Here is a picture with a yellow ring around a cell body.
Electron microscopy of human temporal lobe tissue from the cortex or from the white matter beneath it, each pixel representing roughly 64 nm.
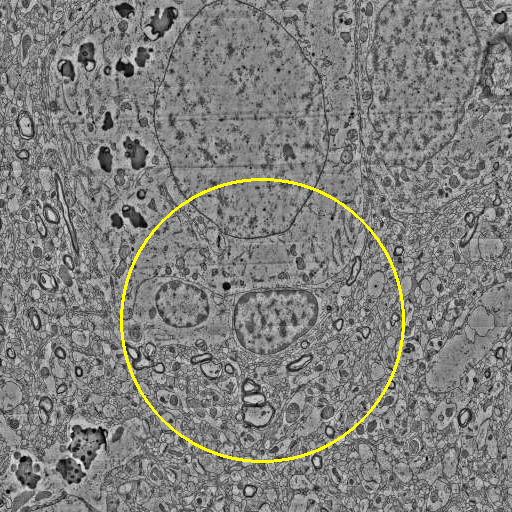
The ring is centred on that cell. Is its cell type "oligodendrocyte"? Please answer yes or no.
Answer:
no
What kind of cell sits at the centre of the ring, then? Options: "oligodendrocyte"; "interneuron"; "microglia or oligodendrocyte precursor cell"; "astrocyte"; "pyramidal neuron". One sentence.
The cell shown in the ring is a microglial cell or oligodendrocyte precursor cell.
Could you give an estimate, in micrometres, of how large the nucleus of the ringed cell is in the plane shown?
In this plane, the nucleus of the cell at the centre of the ring measures about 5 by 4 micrometres.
